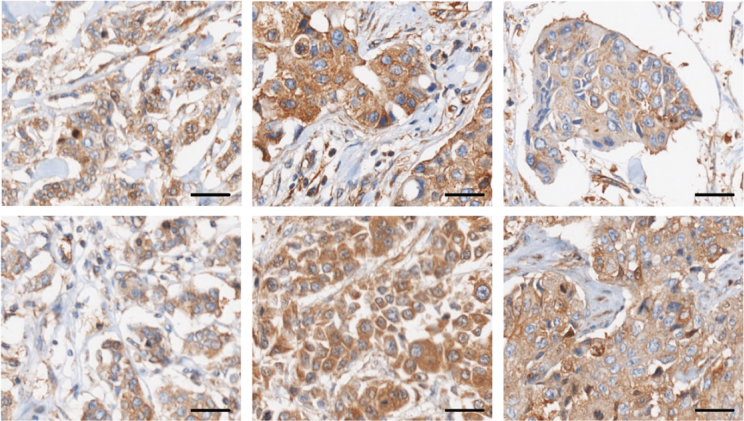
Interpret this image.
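Six fields of invasive carcinoma show nests, cords and sheets of large tumor cells separated by pale fibrous stroma. The tumor cells are polygonal, with large oval to round blue nuclei, often with visible nucleoli, and a fair amount of cytoplasm. The cytoplasm is stained brown, diffusely and with some accentuation at the cell borders, while the nuclei stay blue. Staining strength differs between fields: some show paler, patchier brown, others dense brown cytoplasm throughout the cell groups.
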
